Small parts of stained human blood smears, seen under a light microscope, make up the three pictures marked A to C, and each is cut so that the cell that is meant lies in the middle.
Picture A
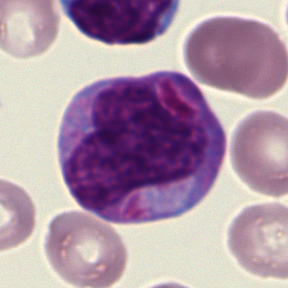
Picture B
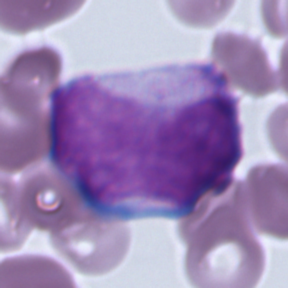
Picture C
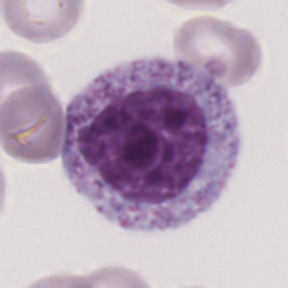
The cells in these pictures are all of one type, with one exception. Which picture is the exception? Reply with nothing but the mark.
C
